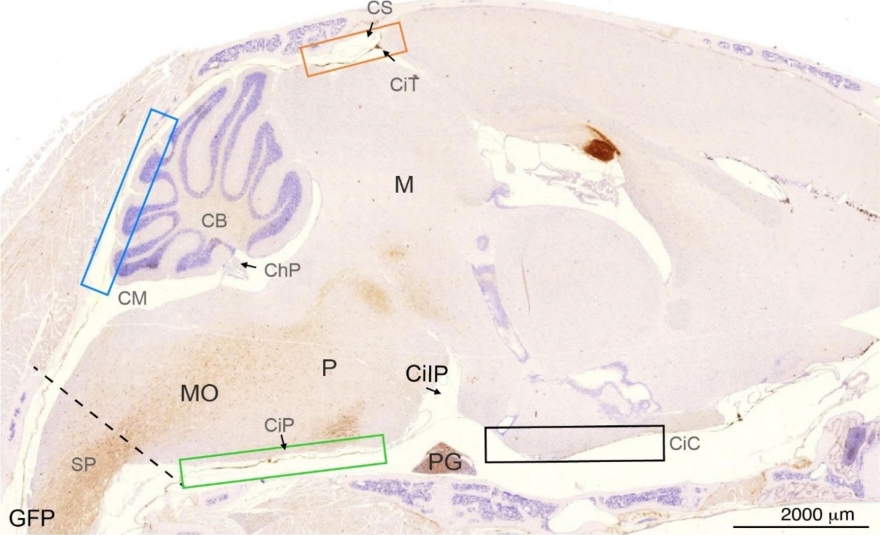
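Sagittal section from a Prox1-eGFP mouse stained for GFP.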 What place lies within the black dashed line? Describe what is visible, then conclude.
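A dashed line crosses the caudal brainstem at the lower left of the section. It lies at the level where the skull base ends behind the brainstem.
Hence: the plane through foramen magnum.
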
